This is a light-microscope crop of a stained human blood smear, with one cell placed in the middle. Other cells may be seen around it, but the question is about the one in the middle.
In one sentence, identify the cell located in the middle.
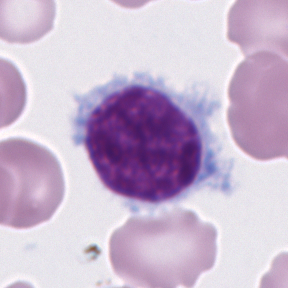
Looking at the middle of the crop, the cell there is a hairy cell.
